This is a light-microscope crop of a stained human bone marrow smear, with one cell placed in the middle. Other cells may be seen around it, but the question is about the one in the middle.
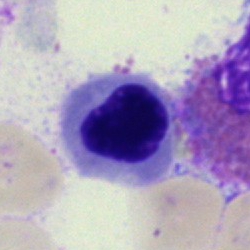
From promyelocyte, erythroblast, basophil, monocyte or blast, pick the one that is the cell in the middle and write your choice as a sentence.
In the middle of this smear crop, the cell is an erythroblast.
